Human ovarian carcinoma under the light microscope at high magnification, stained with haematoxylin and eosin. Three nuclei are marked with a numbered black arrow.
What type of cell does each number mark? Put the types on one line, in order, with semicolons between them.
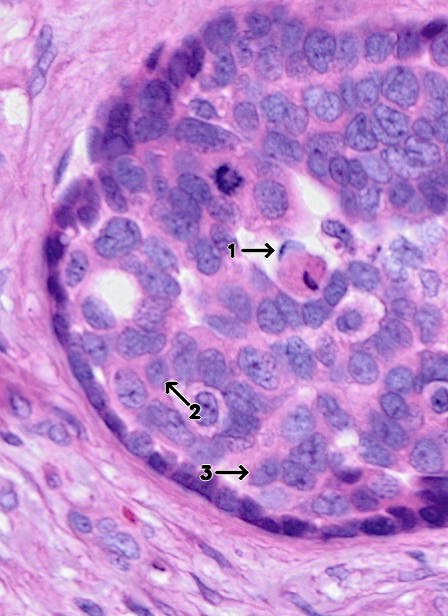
macrophage or monocyte; carcinoma cell; carcinoma cell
